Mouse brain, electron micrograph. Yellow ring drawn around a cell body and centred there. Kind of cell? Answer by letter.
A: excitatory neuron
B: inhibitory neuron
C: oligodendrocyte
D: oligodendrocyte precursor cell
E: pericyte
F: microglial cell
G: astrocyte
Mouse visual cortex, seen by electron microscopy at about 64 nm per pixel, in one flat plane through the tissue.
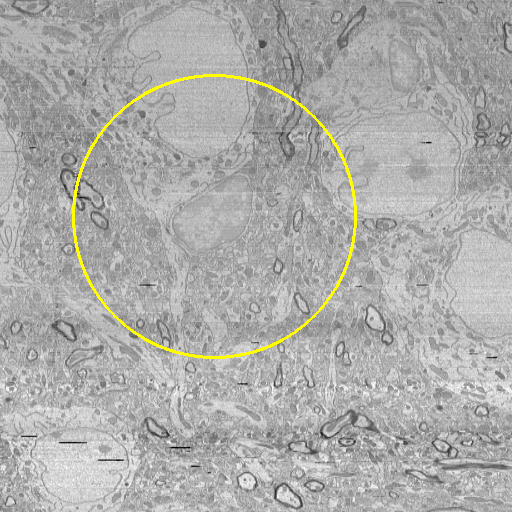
F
